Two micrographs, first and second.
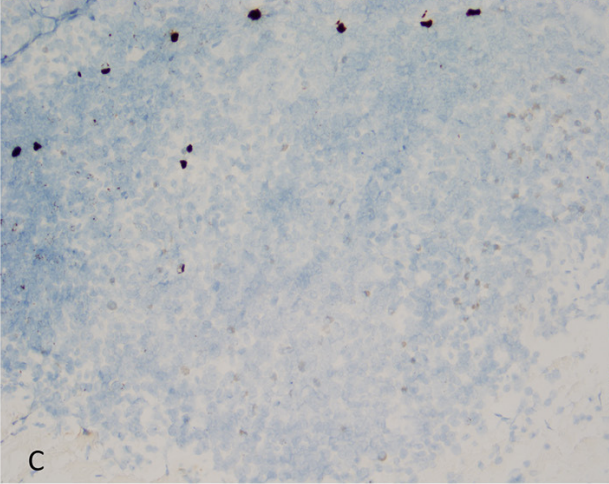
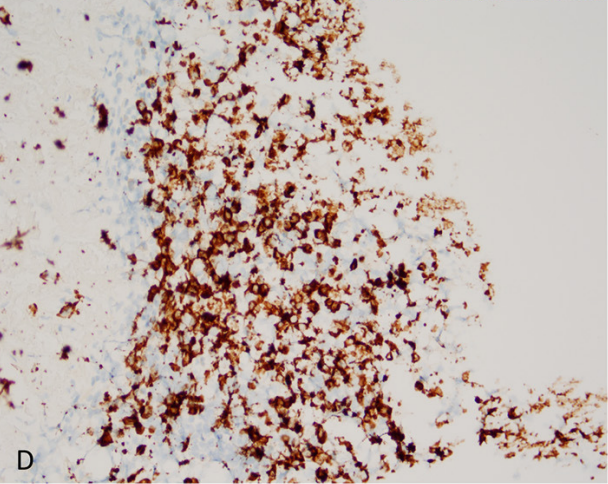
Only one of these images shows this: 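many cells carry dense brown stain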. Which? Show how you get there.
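The second image. First image: only a few scattered cells are stained dark, the rest is pale blue. Second image: a dense crowd of cells is stained brown.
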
